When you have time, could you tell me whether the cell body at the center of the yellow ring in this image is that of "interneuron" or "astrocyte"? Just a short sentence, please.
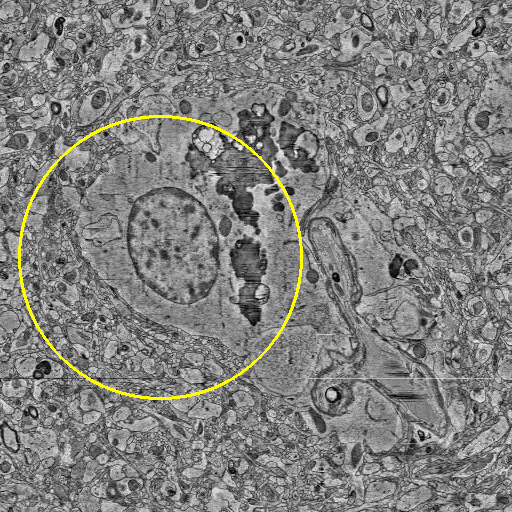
The cell body at the center of the ring is that of an astrocyte.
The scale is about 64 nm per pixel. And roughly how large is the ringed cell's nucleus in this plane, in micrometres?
Roughly 8 by 6 micrometres in this plane, for the nucleus of the ringed cell.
